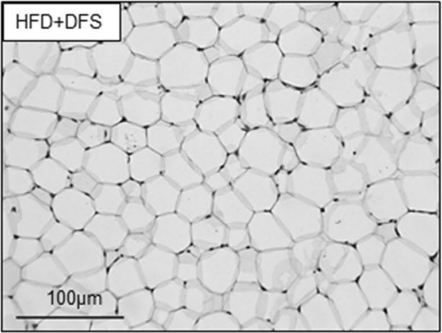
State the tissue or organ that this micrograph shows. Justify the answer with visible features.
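Tissue made of closely packed round cells with clear, unstained interiors. Thin walls between cells forming a net-like pattern. So: fat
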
